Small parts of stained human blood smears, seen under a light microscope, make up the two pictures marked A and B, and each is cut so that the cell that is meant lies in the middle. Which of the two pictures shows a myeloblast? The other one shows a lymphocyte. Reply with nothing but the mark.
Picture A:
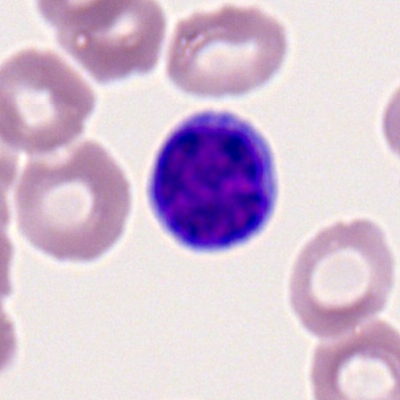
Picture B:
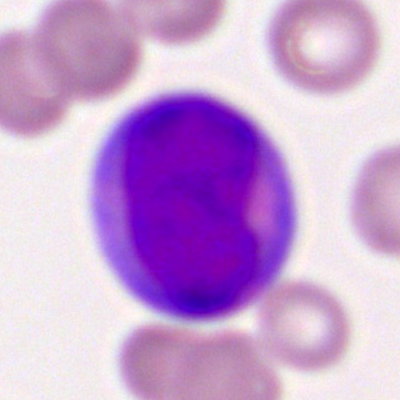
B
